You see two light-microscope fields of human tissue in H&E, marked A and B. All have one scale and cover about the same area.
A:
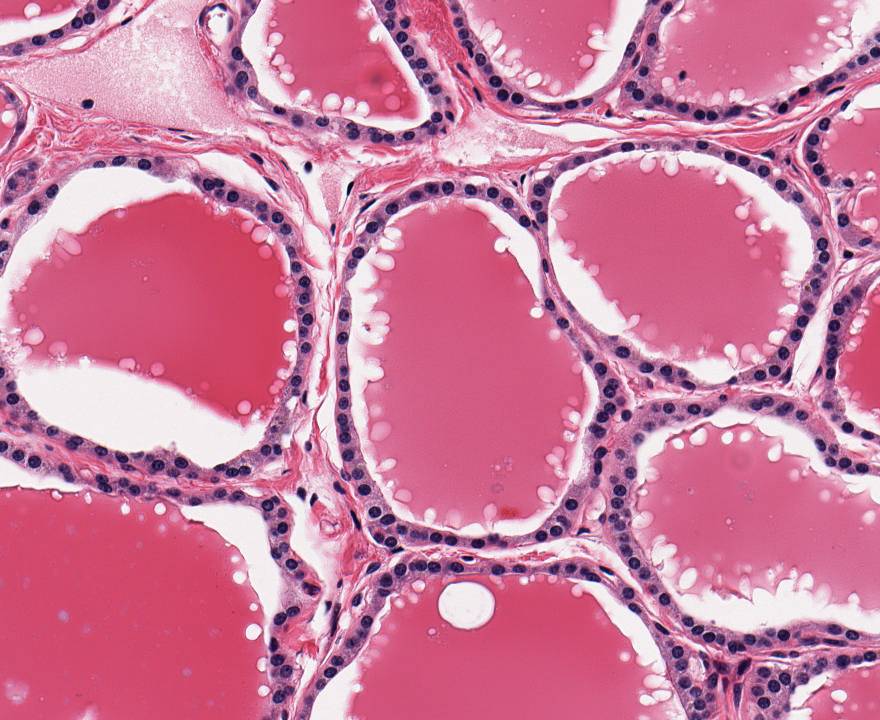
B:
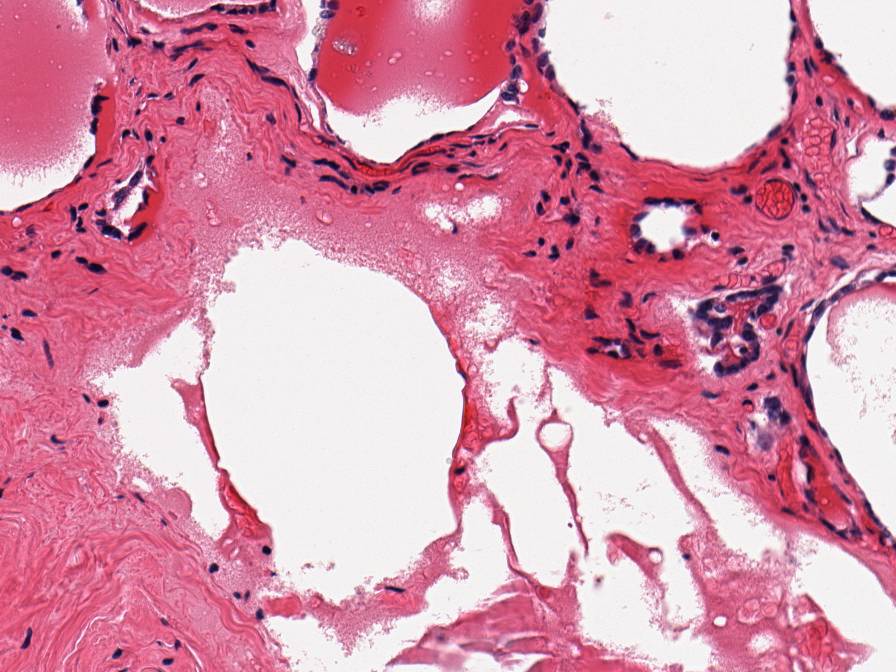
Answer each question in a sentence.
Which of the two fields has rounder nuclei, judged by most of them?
It is picture A whose nuclei are the rounder.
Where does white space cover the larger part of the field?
Picture B has more white space.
